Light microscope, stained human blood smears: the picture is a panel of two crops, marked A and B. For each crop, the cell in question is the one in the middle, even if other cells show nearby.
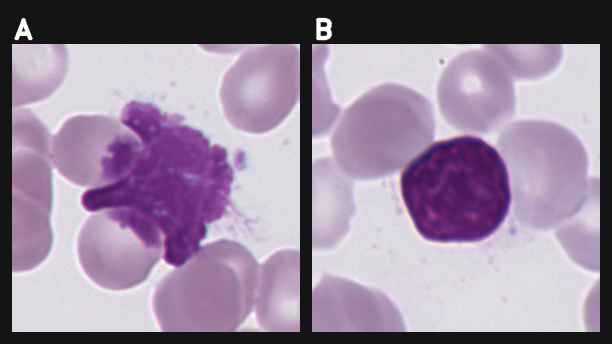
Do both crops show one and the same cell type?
yes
